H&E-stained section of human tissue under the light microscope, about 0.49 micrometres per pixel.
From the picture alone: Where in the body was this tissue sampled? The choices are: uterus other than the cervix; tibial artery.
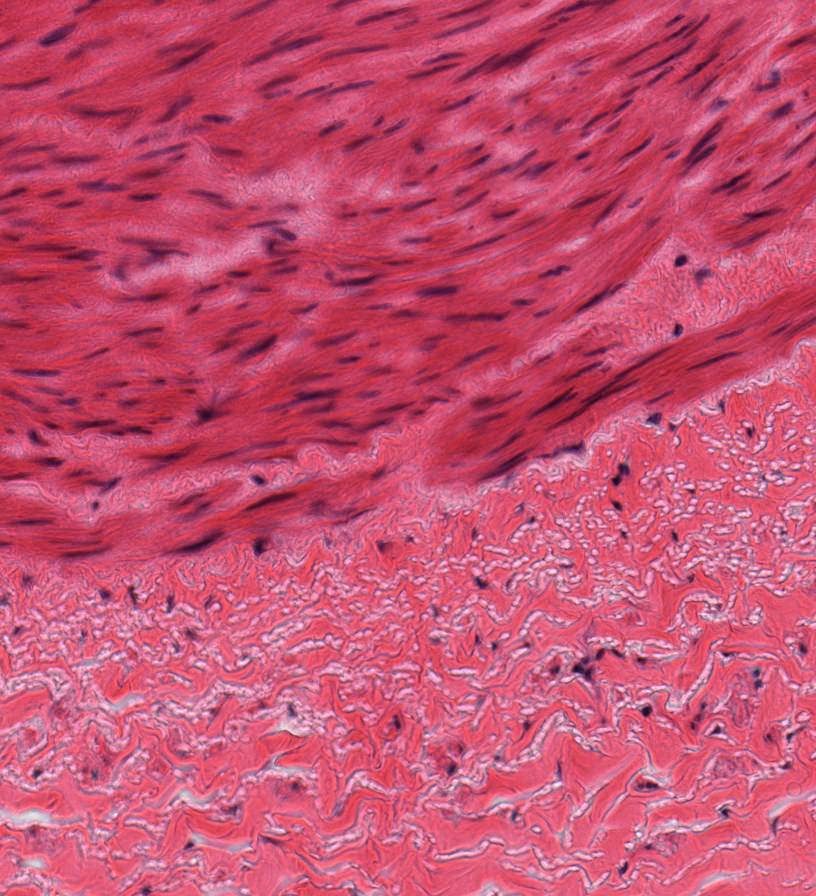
tibial artery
